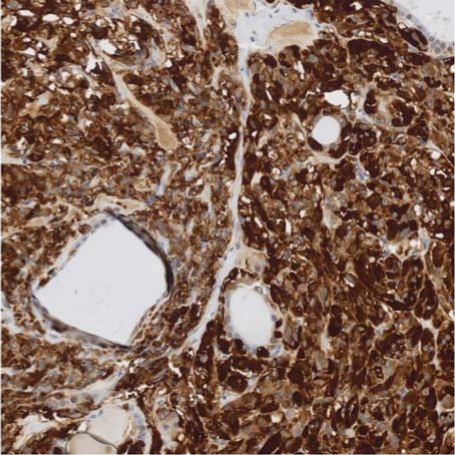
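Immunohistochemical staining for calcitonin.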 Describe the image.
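Cells of medullary thyroid carcinoma fill the field in crowded sheets and nests, nearly all with strong dark brown cytoplasmic stain. Thin strands of stroma between the groups remain pale blue. Several round empty or pale-filled spaces, some lined by thin walls, lie within the tumour.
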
